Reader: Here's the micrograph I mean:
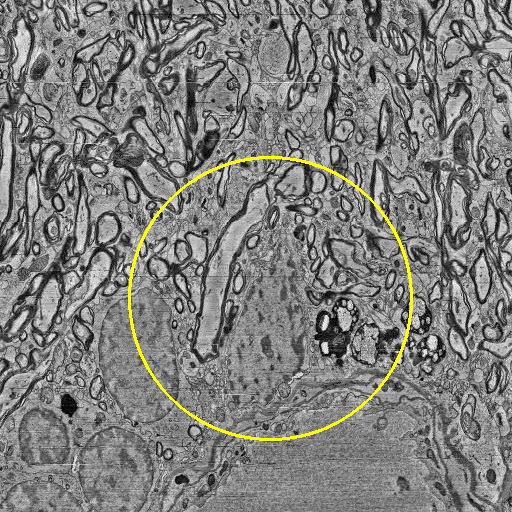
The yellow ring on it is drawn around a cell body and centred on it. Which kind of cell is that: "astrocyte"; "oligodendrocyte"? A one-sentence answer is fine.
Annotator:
The ring is centred on an astrocyte.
